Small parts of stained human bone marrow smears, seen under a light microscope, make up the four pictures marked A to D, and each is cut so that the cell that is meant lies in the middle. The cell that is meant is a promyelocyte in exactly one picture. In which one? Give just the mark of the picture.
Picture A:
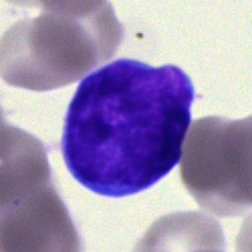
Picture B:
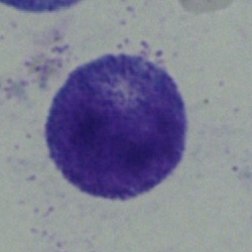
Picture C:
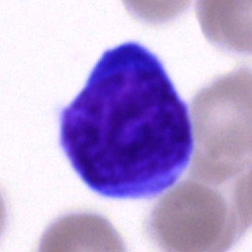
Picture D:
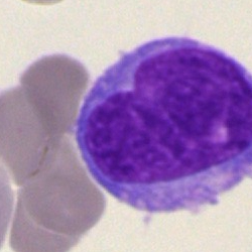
B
